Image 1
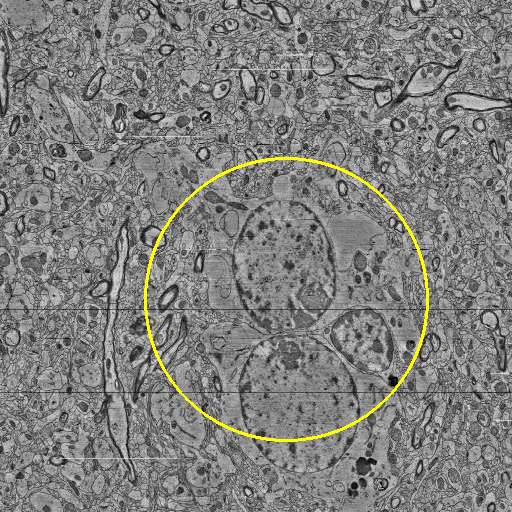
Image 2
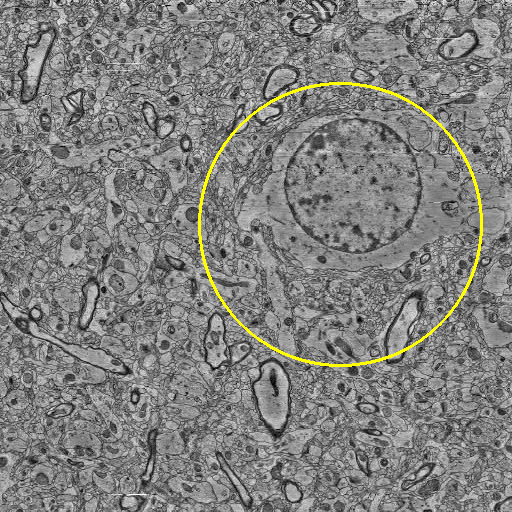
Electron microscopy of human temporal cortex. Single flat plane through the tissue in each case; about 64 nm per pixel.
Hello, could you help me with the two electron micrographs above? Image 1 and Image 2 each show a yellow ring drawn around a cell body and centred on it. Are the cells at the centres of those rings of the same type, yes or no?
yes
